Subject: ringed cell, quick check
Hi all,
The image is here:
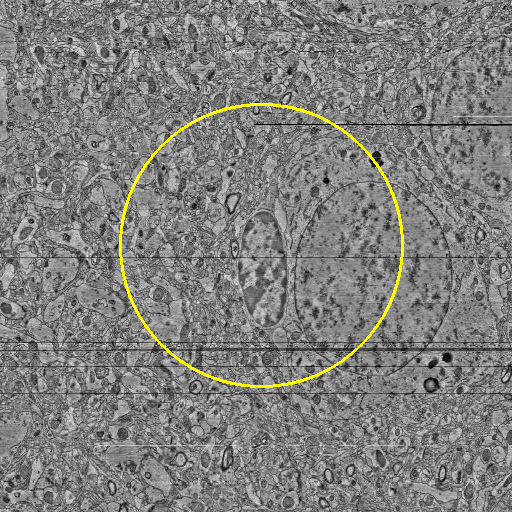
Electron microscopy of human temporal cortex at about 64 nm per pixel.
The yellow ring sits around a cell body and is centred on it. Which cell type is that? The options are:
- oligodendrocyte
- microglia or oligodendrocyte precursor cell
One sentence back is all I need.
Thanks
That ringed cell is a microglial cell or oligodendrocyte precursor cell.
